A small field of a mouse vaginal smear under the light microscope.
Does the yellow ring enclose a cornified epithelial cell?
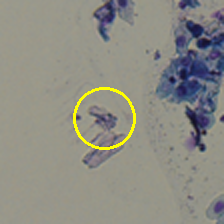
Yes. The ring encloses a cornified epithelial cell.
